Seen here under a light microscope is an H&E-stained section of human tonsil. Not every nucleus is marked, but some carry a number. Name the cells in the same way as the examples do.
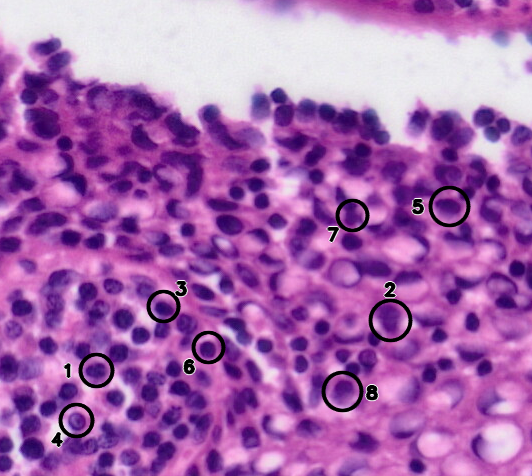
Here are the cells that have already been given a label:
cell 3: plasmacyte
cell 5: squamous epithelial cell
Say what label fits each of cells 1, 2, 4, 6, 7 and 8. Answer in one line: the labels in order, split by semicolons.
plasmacyte; squamous epithelial cell; plasmacyte; plasmacyte; squamous epithelial cell; squamous epithelial cell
